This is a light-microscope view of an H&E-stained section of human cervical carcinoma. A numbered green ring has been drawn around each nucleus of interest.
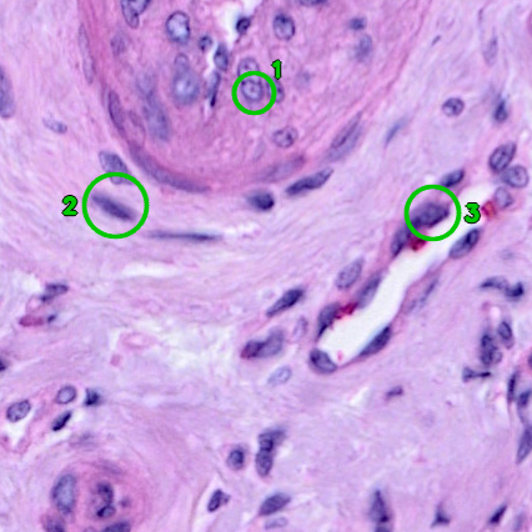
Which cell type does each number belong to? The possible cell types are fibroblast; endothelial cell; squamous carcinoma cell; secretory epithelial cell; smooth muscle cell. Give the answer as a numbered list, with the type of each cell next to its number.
1. smooth muscle cell
2. fibroblast
3. endothelial cell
